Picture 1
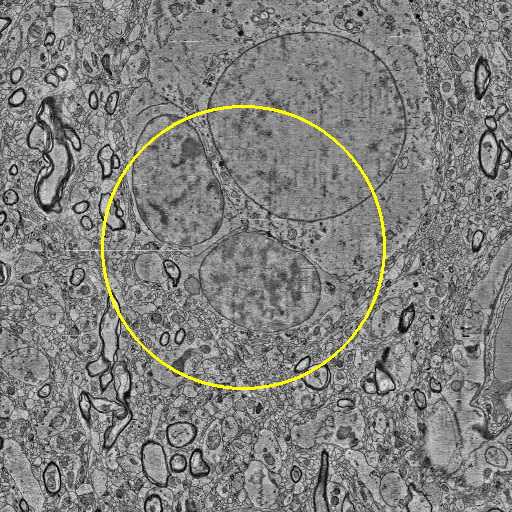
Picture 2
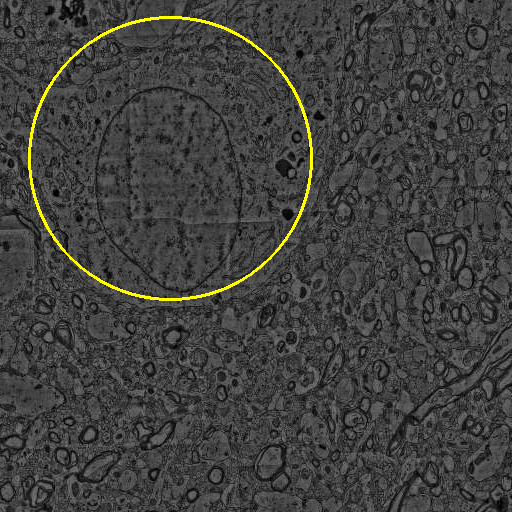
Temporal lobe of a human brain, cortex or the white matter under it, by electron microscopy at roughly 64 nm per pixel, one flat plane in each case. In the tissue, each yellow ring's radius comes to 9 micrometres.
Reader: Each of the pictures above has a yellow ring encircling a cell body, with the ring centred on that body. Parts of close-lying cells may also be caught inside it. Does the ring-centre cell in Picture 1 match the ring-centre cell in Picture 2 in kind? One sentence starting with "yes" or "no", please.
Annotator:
No, Picture 1 and Picture 2 show ring-centre cells of two kinds.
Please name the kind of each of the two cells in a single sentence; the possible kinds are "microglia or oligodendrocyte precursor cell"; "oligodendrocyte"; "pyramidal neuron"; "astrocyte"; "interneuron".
In the first picture the ring is centred on an oligodendrocyte, and in the second on a pyramidal neuron.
